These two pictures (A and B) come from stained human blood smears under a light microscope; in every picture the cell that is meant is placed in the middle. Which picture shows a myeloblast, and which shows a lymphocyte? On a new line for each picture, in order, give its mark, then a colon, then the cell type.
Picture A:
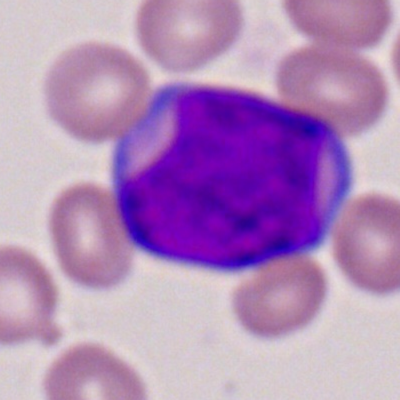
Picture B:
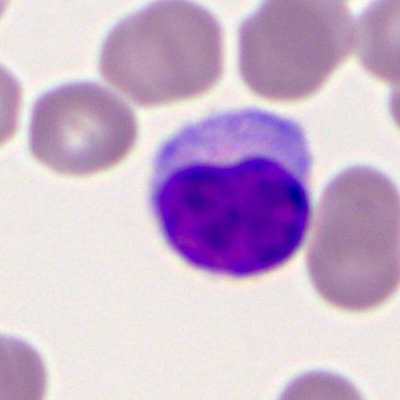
A: myeloblast
B: lymphocyte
